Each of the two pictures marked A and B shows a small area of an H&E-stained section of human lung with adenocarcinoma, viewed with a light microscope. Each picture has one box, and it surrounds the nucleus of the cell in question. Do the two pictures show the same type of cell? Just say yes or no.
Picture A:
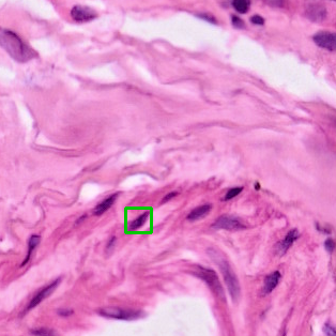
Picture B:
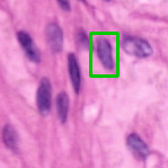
yes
